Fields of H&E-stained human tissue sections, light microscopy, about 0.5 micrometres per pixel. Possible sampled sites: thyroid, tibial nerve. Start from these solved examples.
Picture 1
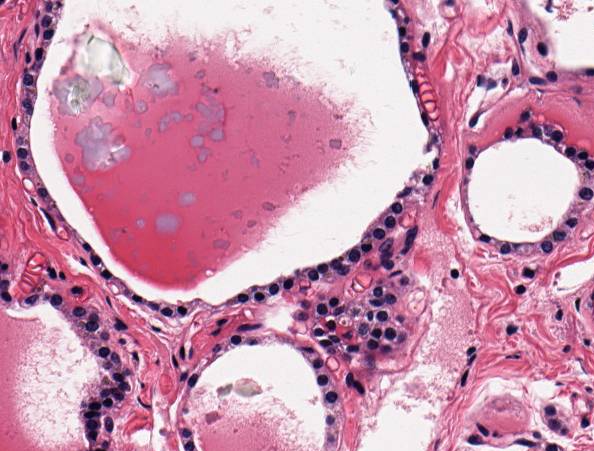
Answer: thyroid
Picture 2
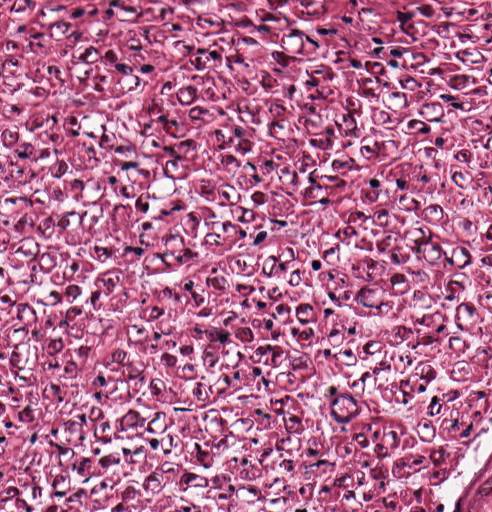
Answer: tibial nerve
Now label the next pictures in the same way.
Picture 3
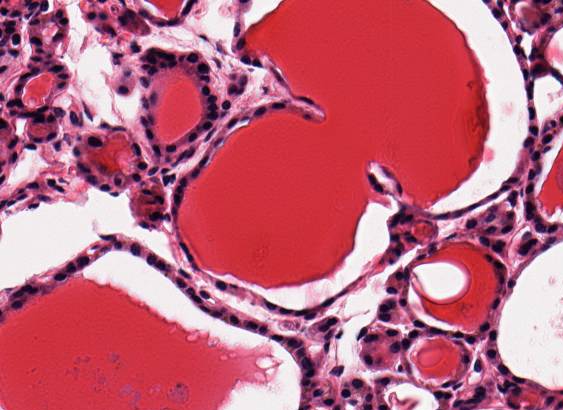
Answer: thyroid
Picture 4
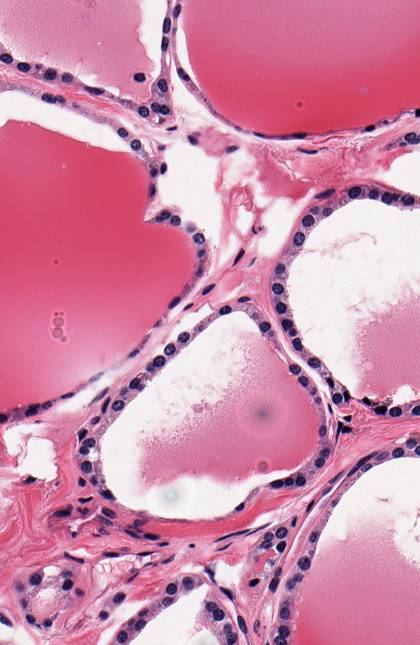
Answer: thyroid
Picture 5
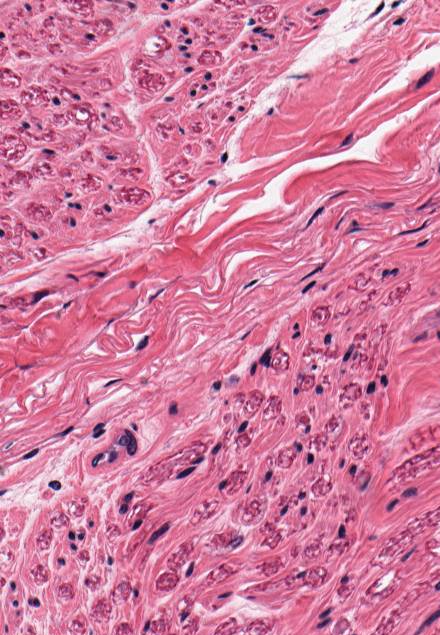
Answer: tibial nerve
